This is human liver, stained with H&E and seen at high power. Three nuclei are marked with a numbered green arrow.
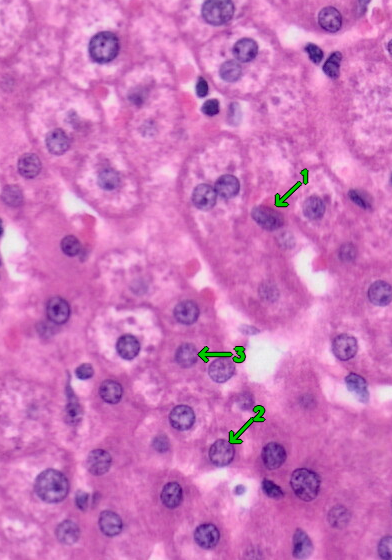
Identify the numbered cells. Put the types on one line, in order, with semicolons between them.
endothelial cell; hepatocyte; hepatocyte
